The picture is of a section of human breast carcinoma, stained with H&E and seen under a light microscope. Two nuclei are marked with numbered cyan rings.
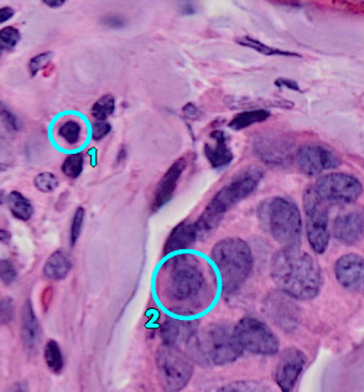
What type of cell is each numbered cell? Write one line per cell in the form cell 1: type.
cell 1: lymphocyte
cell 2: carcinoma cell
